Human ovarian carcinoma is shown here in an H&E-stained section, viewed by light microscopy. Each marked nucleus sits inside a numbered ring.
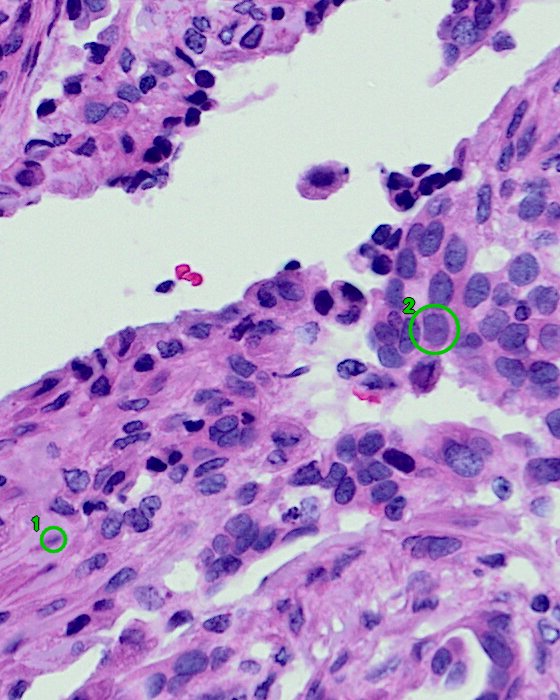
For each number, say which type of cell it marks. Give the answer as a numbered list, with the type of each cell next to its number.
1. fibroblast
2. carcinoma cell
